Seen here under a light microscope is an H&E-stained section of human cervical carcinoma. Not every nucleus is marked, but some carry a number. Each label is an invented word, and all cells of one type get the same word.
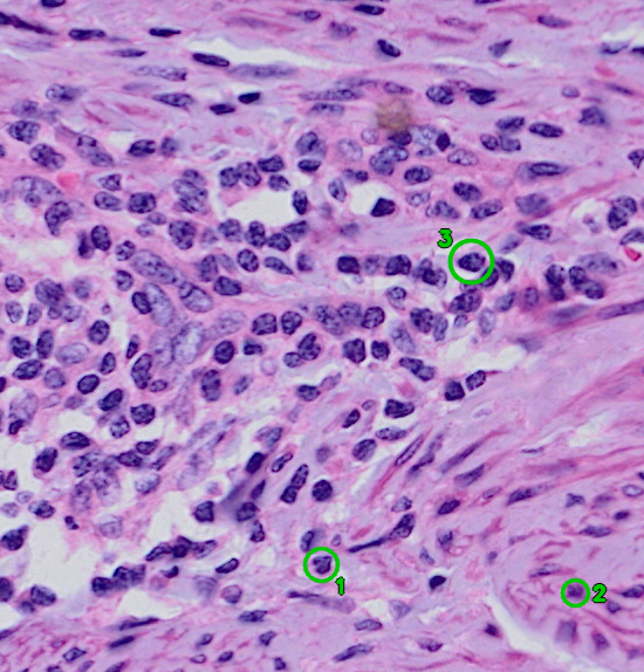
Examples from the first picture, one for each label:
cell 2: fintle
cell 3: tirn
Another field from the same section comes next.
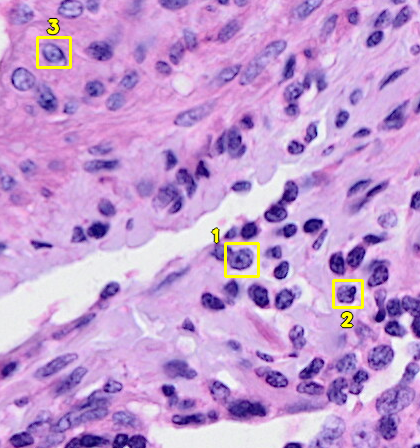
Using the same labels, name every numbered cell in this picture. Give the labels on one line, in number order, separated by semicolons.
tirn; tirn; fintle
